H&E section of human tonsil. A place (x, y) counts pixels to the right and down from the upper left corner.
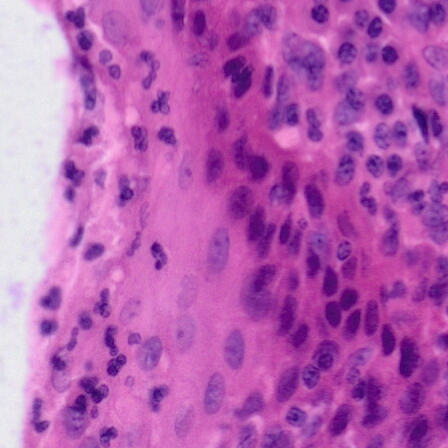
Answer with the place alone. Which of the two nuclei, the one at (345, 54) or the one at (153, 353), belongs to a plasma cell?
(345, 54)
